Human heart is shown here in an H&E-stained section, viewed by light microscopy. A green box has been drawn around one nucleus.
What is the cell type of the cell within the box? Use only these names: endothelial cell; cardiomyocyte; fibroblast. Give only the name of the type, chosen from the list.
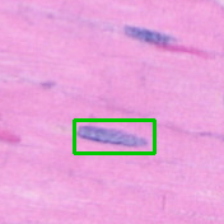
cardiomyocyte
